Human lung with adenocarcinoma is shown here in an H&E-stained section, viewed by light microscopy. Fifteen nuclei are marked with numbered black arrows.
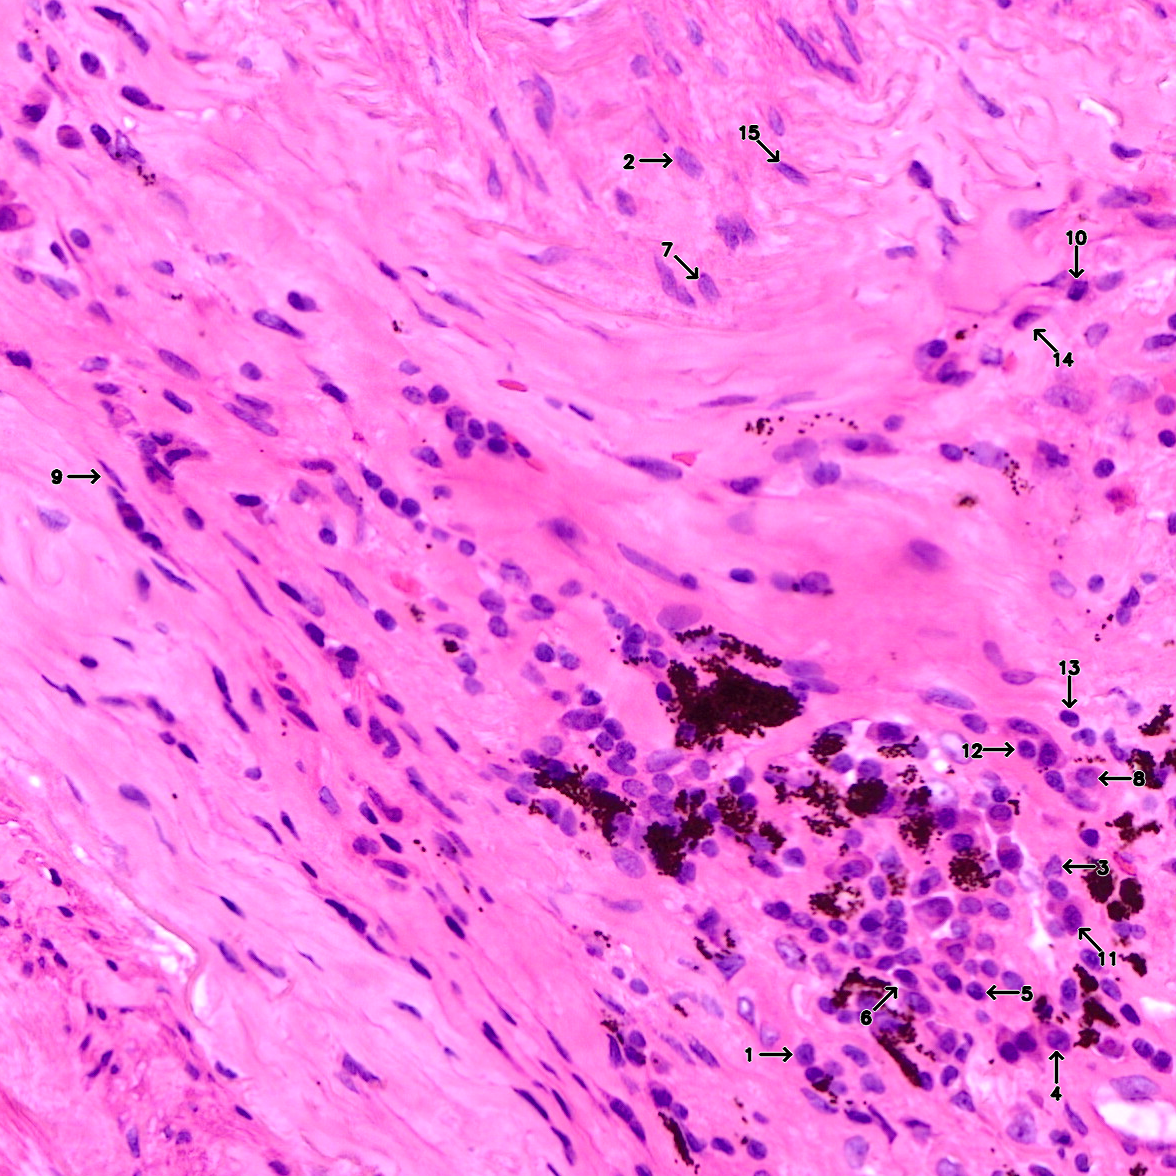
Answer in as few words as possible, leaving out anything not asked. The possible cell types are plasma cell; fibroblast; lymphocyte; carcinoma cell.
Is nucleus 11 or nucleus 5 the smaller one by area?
5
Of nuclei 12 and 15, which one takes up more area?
15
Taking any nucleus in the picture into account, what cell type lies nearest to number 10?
fibroblast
